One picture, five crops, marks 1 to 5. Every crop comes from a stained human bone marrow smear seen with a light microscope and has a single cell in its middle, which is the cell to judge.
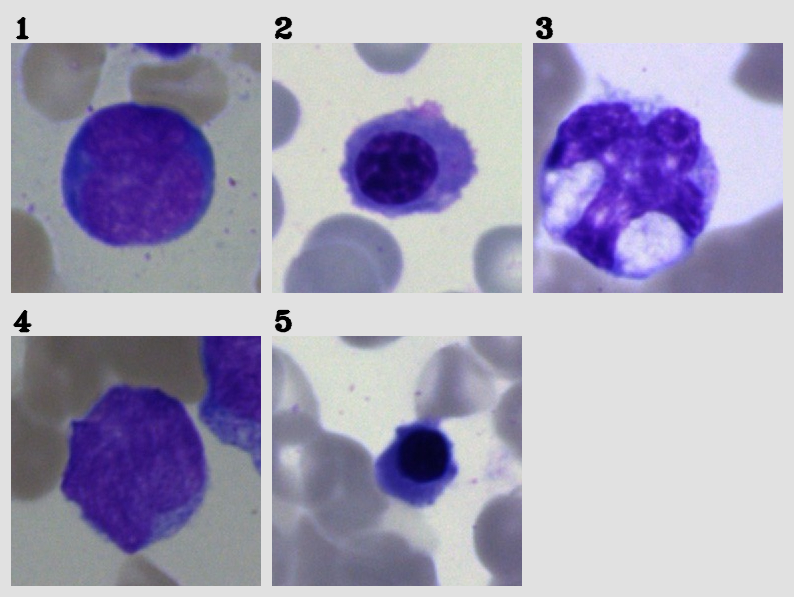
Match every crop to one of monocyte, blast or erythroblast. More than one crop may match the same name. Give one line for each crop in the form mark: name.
1: blast
2: erythroblast
3: monocyte
4: blast
5: erythroblast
